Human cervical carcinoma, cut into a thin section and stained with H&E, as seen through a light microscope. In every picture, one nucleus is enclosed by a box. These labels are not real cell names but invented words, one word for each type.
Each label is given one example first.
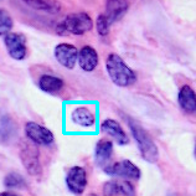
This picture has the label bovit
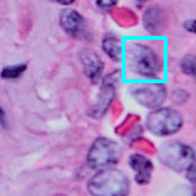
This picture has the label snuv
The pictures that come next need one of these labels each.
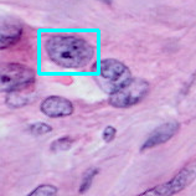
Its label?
snuv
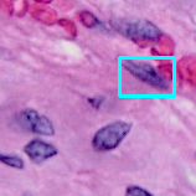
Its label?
snuv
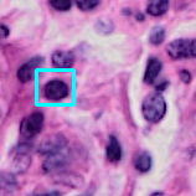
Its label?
bovit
